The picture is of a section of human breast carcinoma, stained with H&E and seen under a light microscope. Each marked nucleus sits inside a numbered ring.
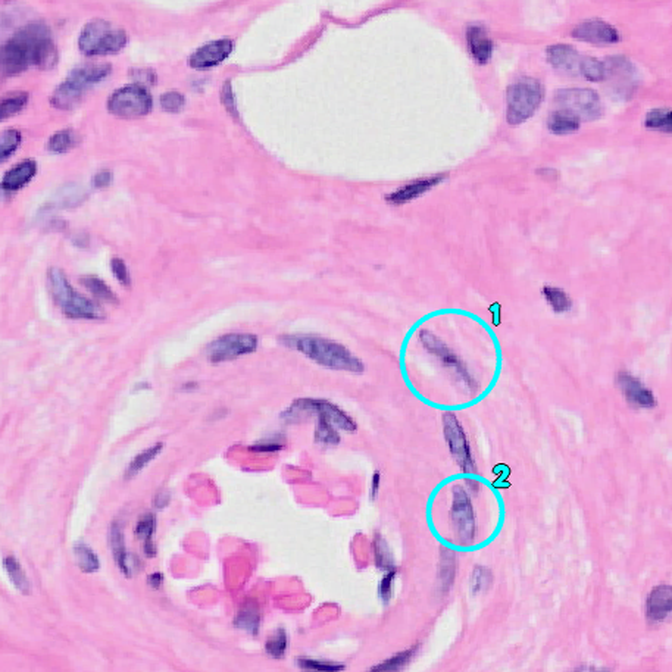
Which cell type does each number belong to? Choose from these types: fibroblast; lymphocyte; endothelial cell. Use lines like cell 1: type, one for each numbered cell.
cell 1: fibroblast
cell 2: endothelial cell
